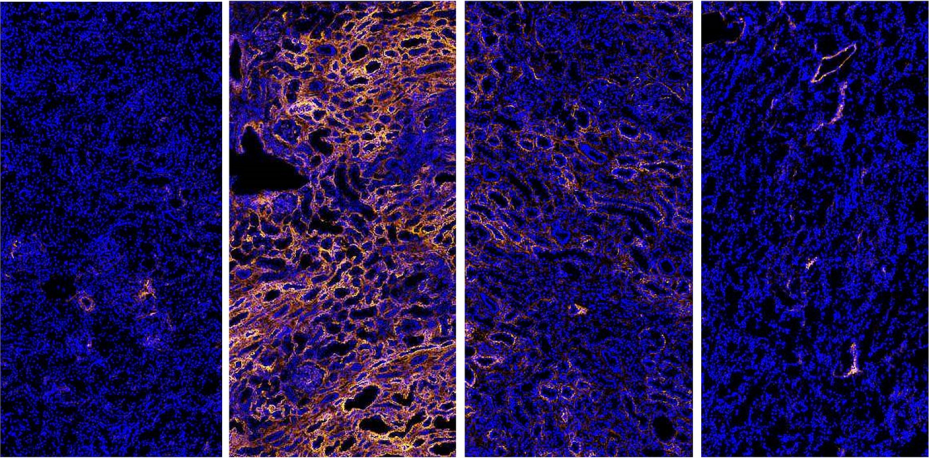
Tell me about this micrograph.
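Four fluorescent sections of kidney tissue are shown side by side, crowded with small blue nuclei throughout. In the second section, bright orange-white signal outlines many rounded and elongated tubular profiles, with dark empty lumens scattered among them. In the third section the outlines are fainter, and in the first and fourth sections only a few scattered bright rims appear against the blue nuclei.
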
